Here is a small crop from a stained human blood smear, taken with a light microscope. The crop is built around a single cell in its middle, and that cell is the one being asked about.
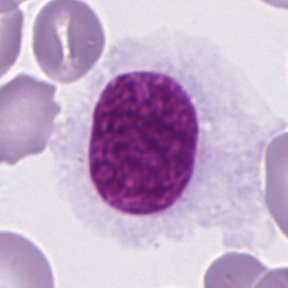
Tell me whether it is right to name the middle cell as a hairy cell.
yes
